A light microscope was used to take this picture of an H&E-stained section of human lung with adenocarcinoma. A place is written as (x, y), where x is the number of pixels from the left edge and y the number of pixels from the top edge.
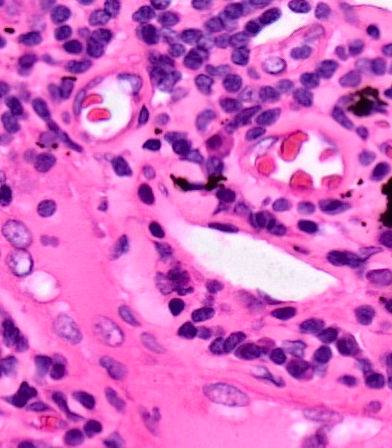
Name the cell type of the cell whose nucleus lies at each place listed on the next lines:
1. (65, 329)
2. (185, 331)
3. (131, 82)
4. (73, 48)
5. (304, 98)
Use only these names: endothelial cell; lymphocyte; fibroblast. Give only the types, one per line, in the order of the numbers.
endothelial cell
lymphocyte
endothelial cell
lymphocyte
lymphocyte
